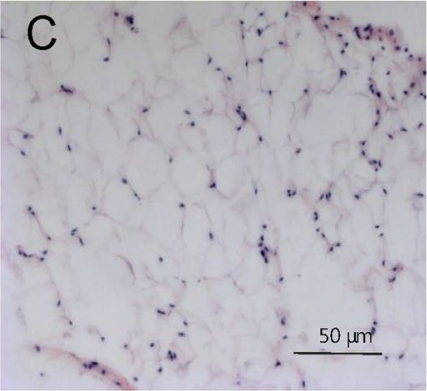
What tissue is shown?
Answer: Adipose tissue.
